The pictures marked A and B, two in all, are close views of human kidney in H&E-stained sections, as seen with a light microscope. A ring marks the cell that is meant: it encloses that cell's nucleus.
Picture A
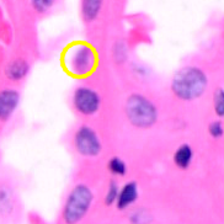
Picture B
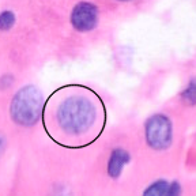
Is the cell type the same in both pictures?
yes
